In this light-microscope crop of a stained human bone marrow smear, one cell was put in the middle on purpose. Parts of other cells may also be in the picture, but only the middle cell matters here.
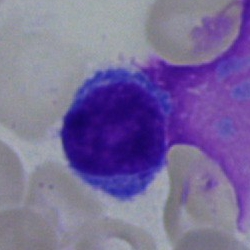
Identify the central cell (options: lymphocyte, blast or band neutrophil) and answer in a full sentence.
In the central position of this crop, the cell is a lymphocyte.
